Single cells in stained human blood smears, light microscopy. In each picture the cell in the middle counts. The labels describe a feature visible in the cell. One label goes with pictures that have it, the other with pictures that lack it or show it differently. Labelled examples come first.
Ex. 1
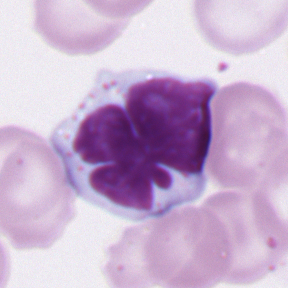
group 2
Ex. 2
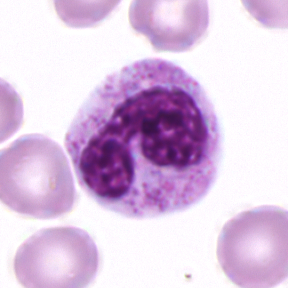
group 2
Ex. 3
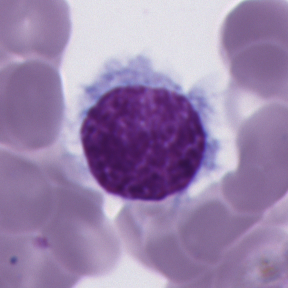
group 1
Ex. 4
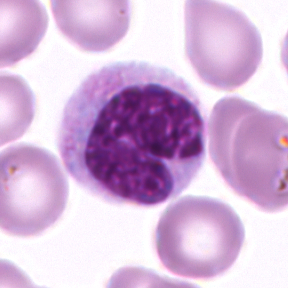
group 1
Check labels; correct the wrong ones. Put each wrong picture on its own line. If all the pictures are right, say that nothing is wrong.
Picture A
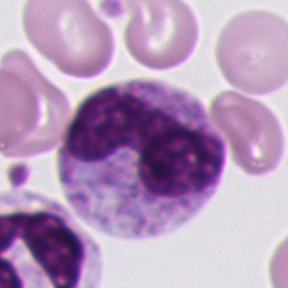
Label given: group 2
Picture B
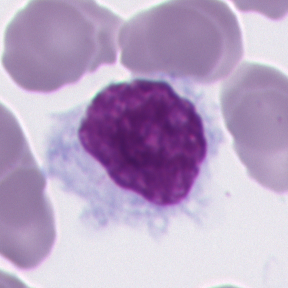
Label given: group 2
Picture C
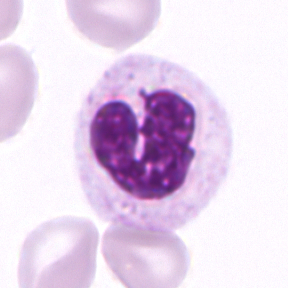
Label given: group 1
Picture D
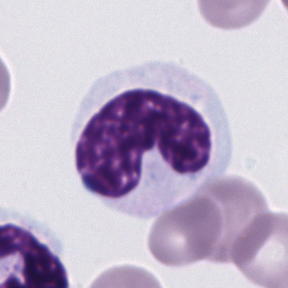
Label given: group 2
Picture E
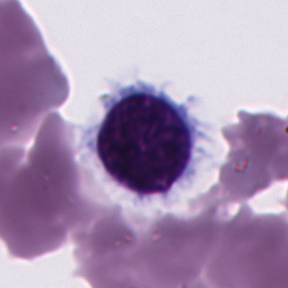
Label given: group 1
B: not group 2 but group 1
D: not group 2 but group 1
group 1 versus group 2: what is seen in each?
group 1: single compact nucleus; group 2: lobed nucleus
